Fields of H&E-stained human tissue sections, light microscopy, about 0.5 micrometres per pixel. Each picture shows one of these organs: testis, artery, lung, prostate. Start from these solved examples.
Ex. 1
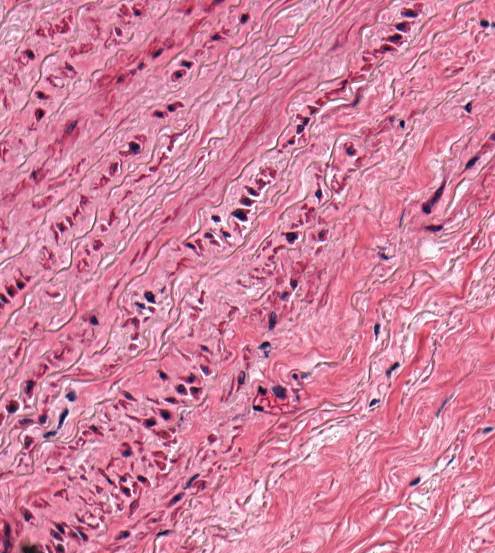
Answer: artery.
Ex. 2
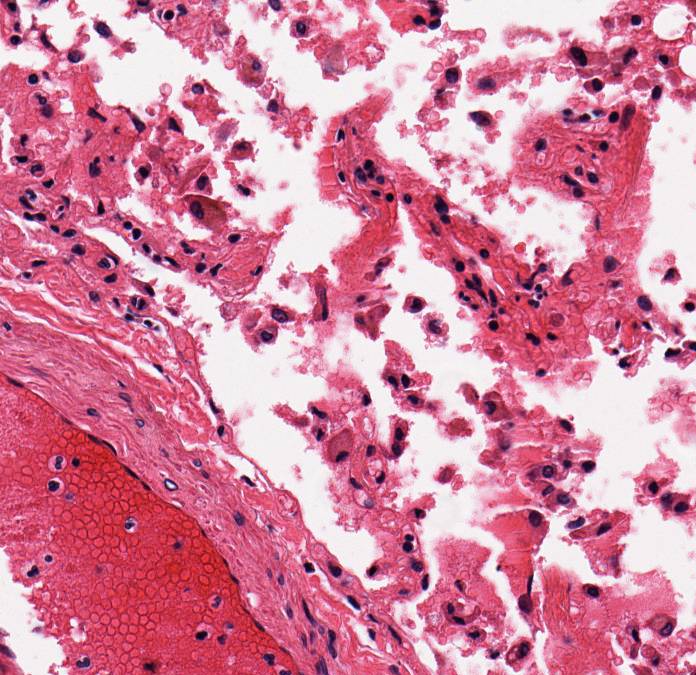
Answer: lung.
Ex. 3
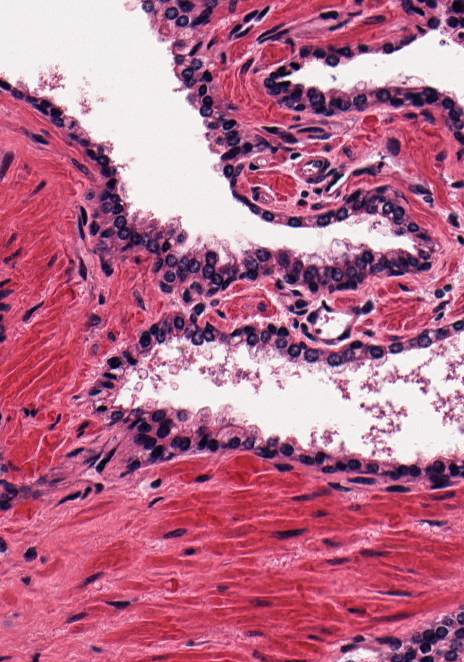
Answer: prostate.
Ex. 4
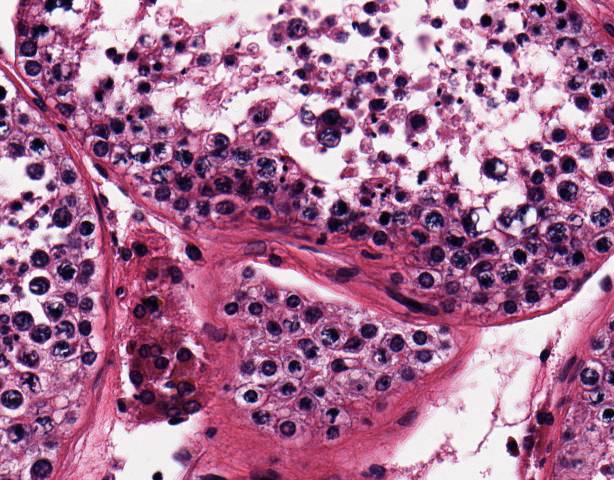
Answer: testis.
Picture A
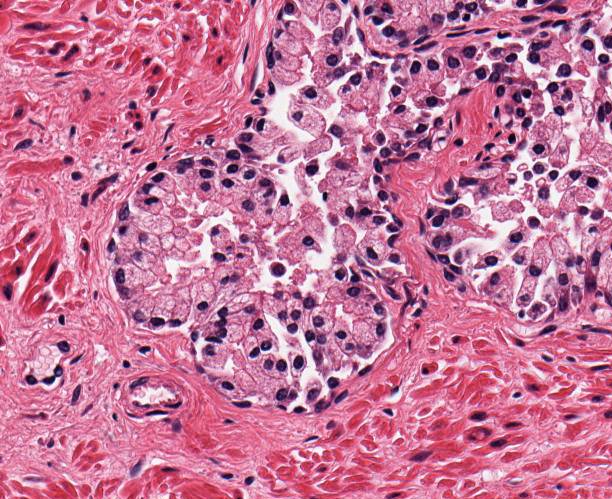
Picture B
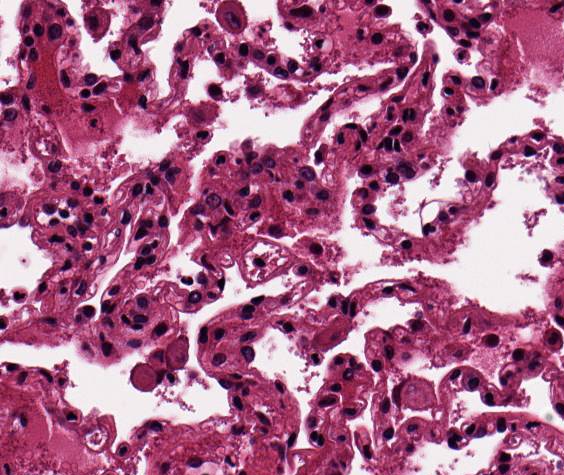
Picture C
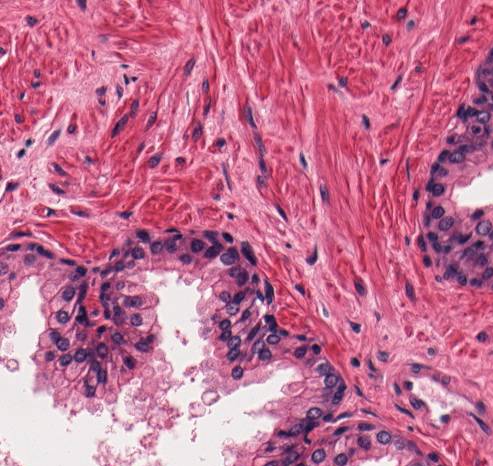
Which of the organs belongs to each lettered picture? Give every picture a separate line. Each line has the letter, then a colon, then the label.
A: prostate.
B: lung.
C: prostate.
